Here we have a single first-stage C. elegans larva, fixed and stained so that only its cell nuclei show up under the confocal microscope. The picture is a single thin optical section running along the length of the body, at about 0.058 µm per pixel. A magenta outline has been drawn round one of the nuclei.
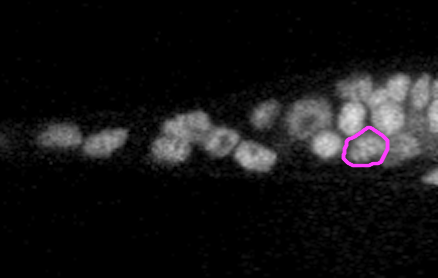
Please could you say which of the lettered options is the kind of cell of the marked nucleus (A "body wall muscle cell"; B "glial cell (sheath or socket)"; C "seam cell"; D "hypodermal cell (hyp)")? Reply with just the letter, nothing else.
A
